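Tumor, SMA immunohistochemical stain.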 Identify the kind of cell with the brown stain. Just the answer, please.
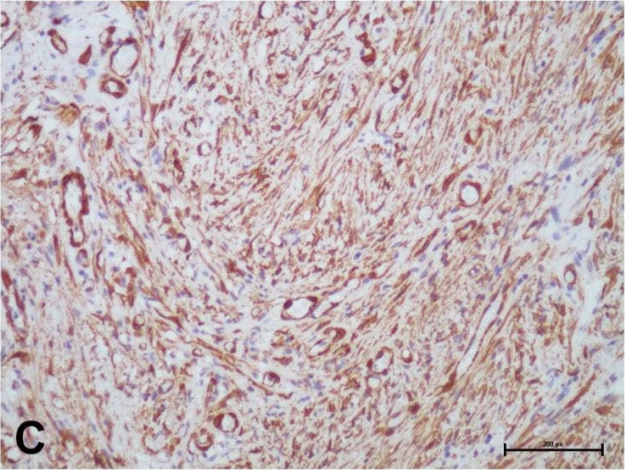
spindle cells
